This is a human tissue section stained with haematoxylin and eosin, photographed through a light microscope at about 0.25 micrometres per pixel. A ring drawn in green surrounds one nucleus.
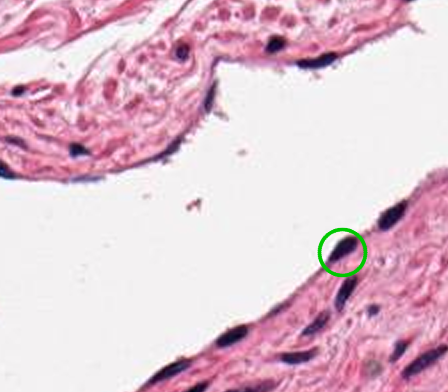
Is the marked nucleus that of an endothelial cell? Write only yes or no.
yes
